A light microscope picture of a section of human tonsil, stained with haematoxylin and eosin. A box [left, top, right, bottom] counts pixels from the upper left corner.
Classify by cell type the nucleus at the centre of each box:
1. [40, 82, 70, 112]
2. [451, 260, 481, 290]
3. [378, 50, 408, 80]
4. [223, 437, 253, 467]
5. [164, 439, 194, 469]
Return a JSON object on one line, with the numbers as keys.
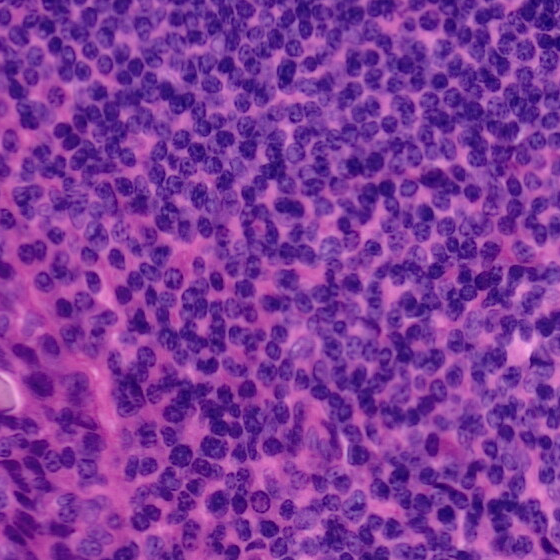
{"1": "plasma cell", "2": "small lymphocyte", "3": "small lymphocyte", "4": "small lymphocyte", "5": "plasma cell"}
